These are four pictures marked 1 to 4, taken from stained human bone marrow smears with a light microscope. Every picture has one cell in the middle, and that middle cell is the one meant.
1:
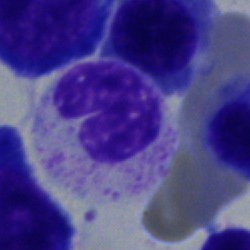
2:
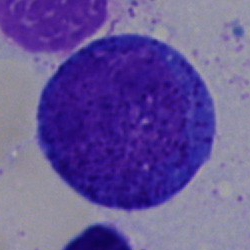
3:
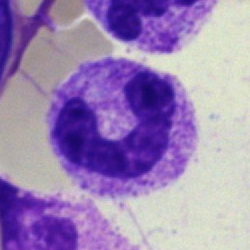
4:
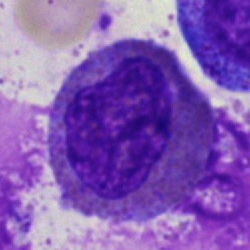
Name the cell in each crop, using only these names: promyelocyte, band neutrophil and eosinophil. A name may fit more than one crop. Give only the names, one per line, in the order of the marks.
band neutrophil
promyelocyte
band neutrophil
eosinophil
